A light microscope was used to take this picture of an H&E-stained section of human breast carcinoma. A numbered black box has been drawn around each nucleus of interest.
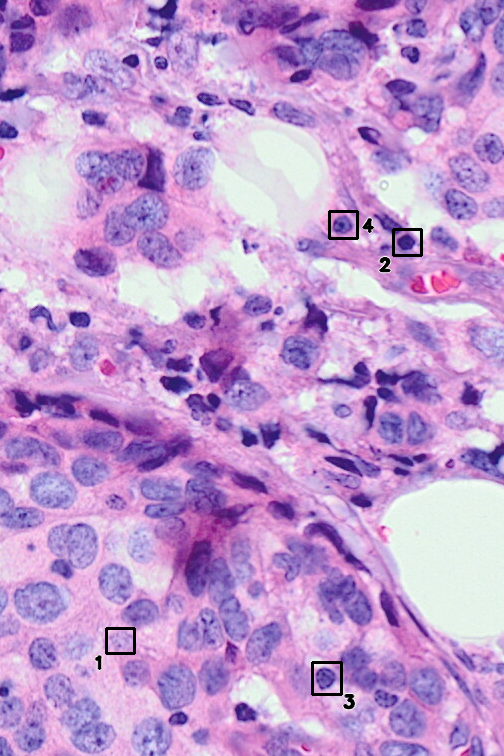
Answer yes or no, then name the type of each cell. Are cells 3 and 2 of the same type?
Yes, cells 3 and 2 are, both of them, lymphocytes.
